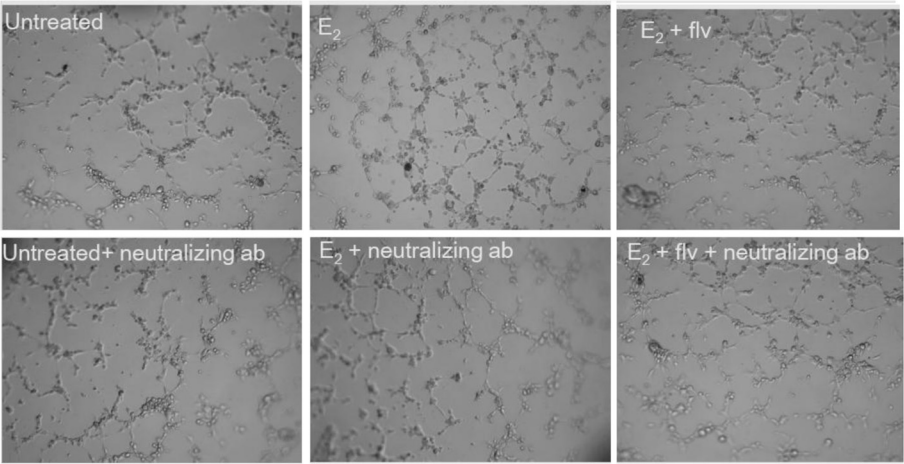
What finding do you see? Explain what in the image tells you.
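Cells are aligned in thin cord-like chains. The chains join into a branching network that encloses open polygonal spaces. Clusters of rounded cells sit at the junctions of the network. The answer: tubulogenesis.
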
